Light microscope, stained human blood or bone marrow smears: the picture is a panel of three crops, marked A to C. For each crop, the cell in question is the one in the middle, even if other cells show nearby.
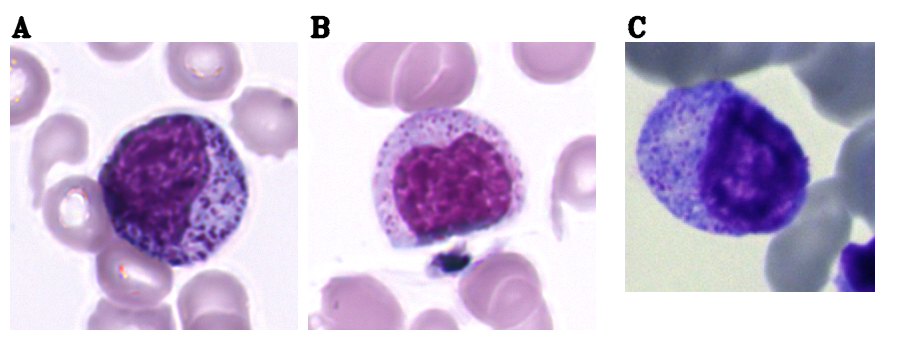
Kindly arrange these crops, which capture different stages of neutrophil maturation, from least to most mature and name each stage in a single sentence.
The arrangement from least to most mature is crop C (a promyelocyte), crop A (a myelocyte) and crop B (a metamyelocyte).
